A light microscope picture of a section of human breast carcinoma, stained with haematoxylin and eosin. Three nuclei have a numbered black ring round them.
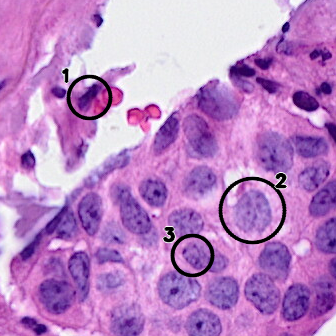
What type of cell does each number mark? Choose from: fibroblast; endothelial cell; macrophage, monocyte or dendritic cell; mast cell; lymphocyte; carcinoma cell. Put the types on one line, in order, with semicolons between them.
endothelial cell; carcinoma cell; carcinoma cell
